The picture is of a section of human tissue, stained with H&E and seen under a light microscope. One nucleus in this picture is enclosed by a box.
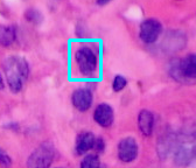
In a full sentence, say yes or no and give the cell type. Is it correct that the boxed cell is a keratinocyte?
No, for the boxed cell the correct label is a lymphocyte and not a keratinocyte.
